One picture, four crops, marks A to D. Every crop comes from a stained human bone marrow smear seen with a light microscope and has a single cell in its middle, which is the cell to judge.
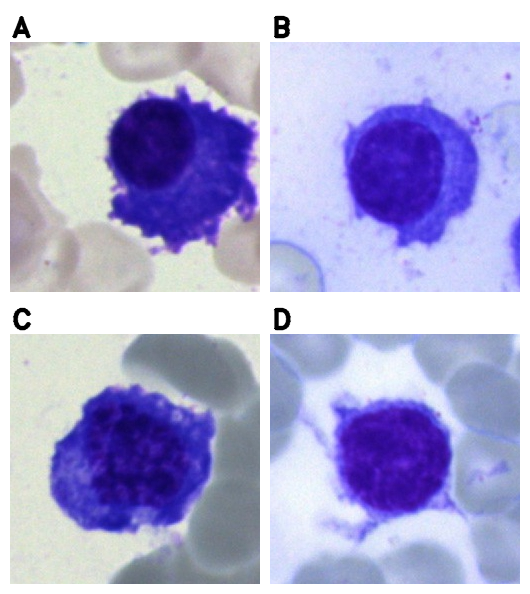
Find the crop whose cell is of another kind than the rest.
D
